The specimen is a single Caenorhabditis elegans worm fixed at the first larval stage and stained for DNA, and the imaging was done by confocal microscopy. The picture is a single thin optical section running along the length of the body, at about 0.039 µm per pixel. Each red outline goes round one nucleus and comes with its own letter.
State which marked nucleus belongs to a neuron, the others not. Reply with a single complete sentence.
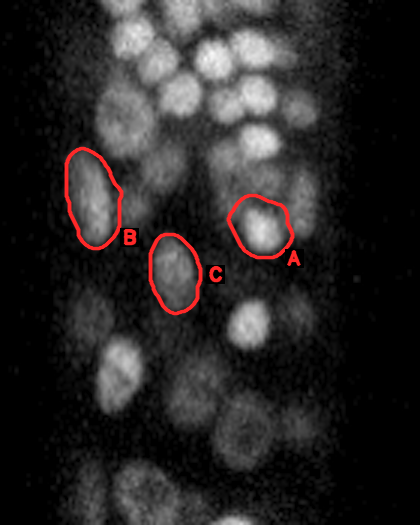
It is A that belongs to a neuron.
